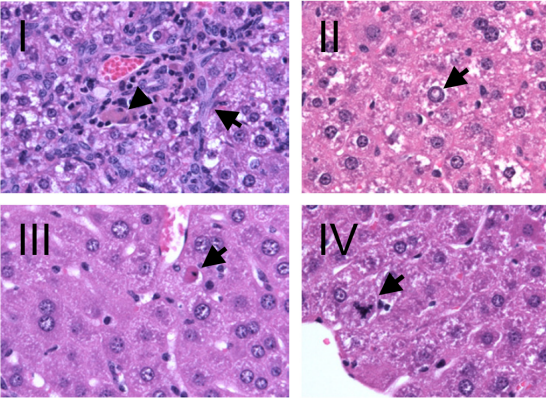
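Four views of liver parenchyma show hepatocytes in plates, with round central nuclei and pink cytoplasm. In the upper right view, many hepatocytes have pale, vacuolated cytoplasm and one nucleus appears cleared with a rim of chromatin. In the lower left view, a single small, shrunken, intensely pink body with condensed dark nuclear fragments lies among otherwise regular hepatocytes. In the lower right view, one hepatocyte shows dark, clumped condensed chromosomes rather than a round nucleus, near a large vessel lumen.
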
